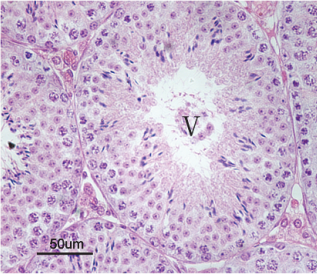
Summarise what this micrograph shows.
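A seminiferous tubule in cross section shows a stratified seminiferous epithelium of germ cells with purple nuclei arranged in concentric layers from the thin basal wall toward a central lumen. Pale pink flagella of spermatozoa gather in the lumen, and neighbouring tubules with interstitial tissue are seen at the edges.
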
